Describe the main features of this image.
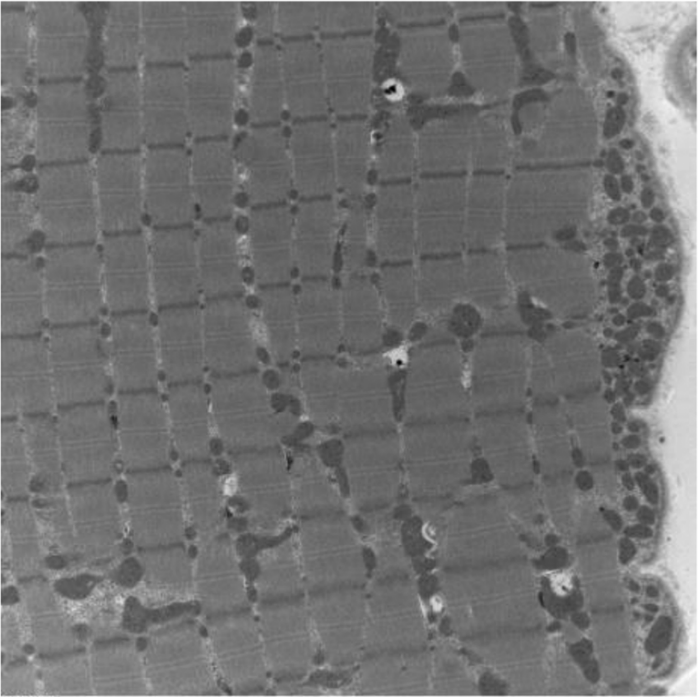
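Striated muscle fibre in longitudinal section with subsarcolemmal and intermyofibrillar mitochondria. Myofibrils run top to bottom, crossed by regular dark transverse lines marking sarcomere boundaries. Along the right margin, beneath the fibre's surface and beside the pale extracellular space, many dark oval and rounded mitochondria crowd together in a thick band several organelles deep. Within the fibre, smaller dark mitochondria sit in pairs at the level of the transverse lines and in short elongated strands between myofibrils. Pale, loosely textured cytoplasmic spaces and a few small vacuoles with dense cores lie among them.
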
